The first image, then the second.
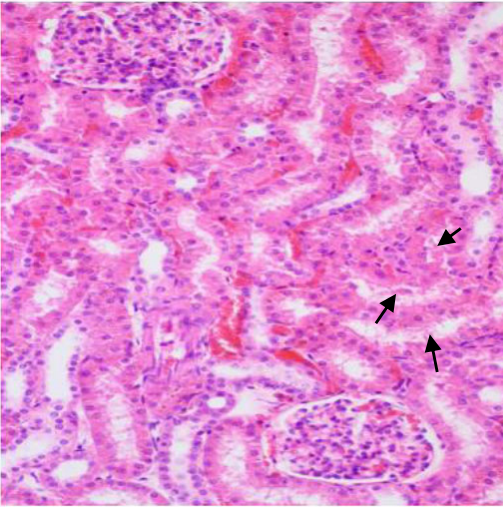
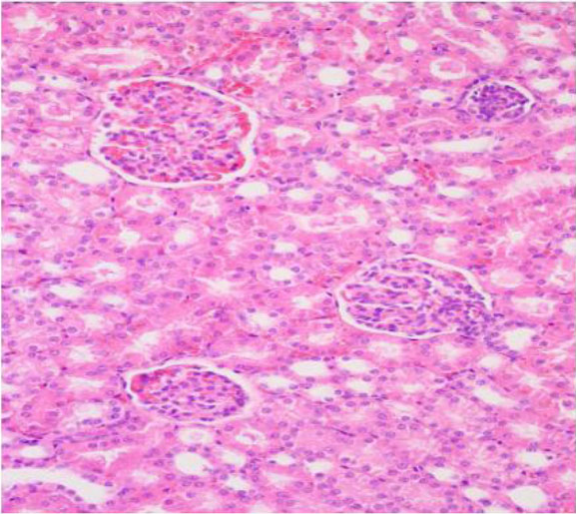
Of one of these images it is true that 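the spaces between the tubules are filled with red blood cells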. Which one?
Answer: The first image.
